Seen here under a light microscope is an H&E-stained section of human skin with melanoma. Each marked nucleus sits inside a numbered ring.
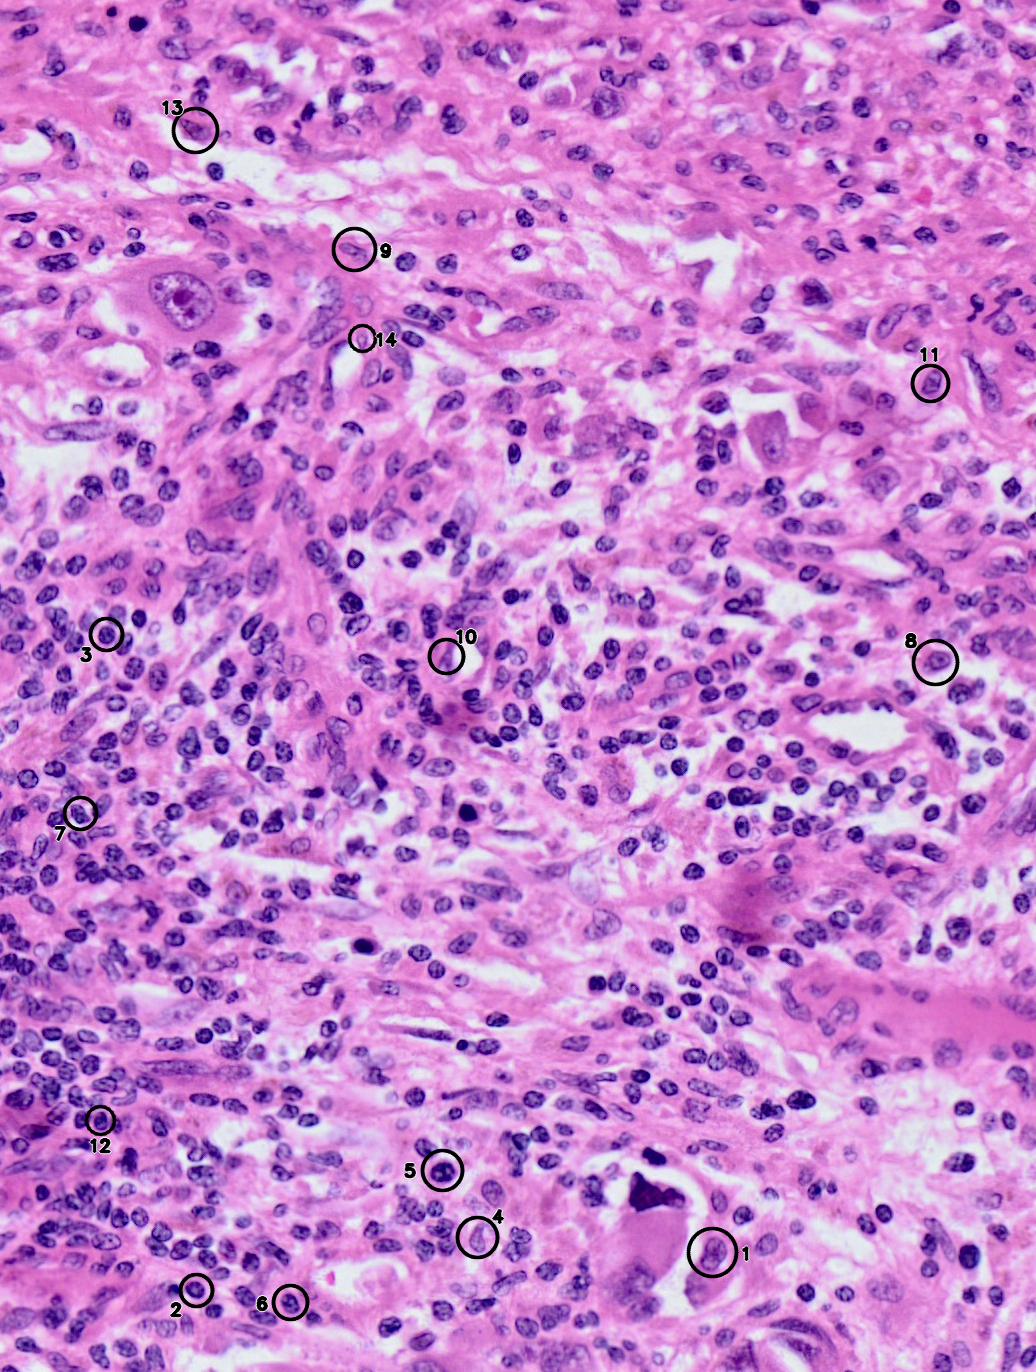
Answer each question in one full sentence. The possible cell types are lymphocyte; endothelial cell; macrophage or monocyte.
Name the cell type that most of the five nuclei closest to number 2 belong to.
Of the five nuclei nearest to number 2, most belong to lymphocytes.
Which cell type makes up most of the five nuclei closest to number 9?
The majority of the five nuclei closest to number 9 belong to endothelial cells.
